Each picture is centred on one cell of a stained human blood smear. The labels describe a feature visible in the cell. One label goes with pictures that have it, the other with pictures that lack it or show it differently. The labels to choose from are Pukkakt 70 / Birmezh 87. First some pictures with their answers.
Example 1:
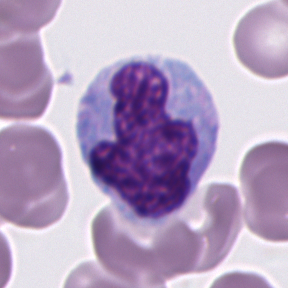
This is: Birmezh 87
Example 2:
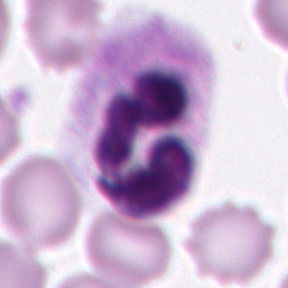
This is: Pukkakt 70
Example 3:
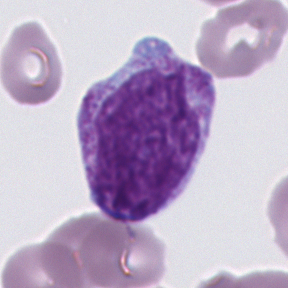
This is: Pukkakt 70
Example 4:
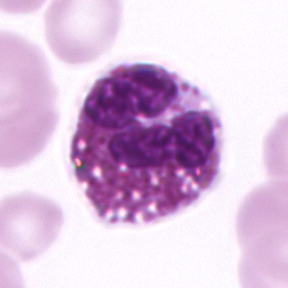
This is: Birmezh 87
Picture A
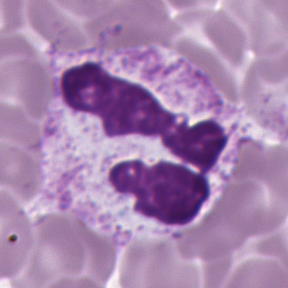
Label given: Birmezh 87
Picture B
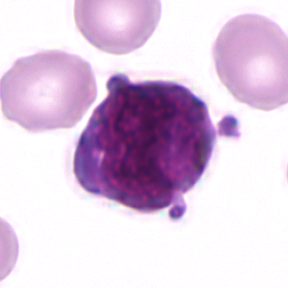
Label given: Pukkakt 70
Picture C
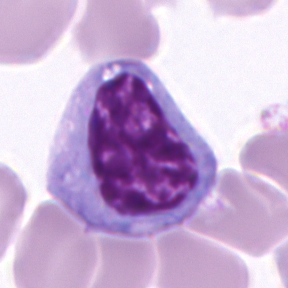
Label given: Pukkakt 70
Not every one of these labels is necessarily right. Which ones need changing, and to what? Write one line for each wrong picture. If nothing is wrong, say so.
A is labelled Birmezh 87; correct label: Pukkakt 70
C is labelled Pukkakt 70; correct label: Birmezh 87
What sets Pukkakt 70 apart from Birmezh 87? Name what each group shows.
In Pukkakt 70: ragged outline or projections. In Birmezh 87: smooth outline.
